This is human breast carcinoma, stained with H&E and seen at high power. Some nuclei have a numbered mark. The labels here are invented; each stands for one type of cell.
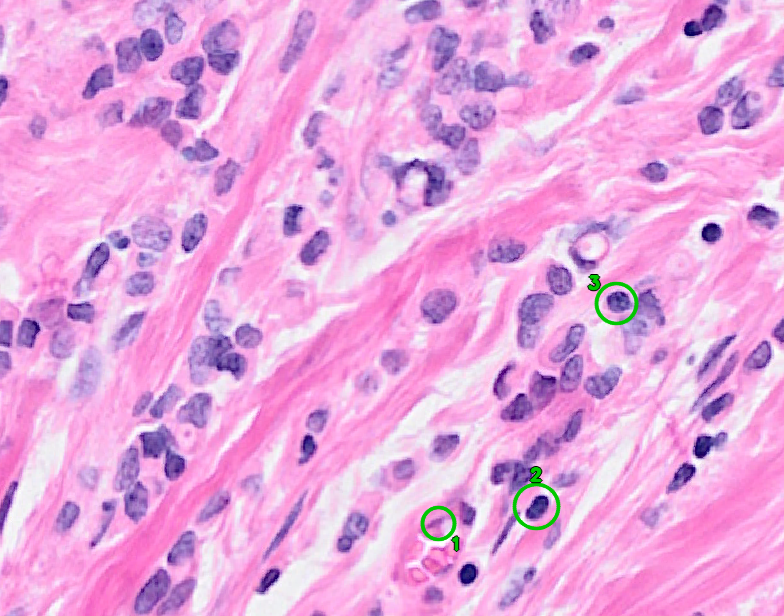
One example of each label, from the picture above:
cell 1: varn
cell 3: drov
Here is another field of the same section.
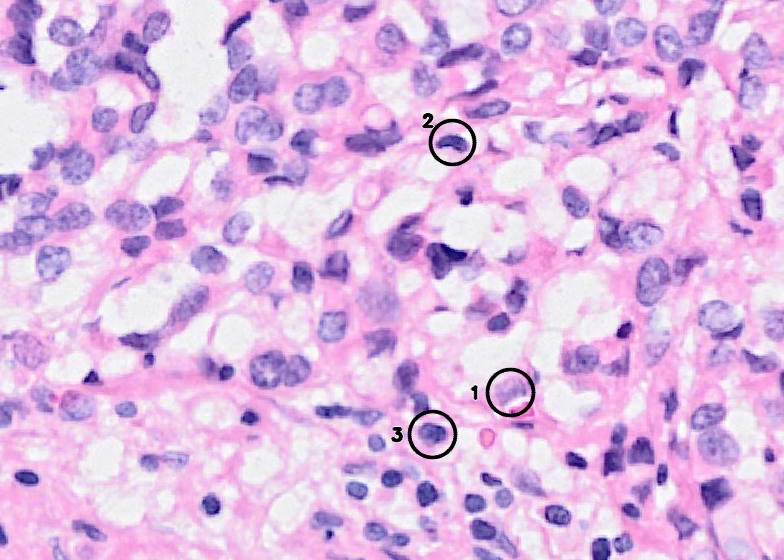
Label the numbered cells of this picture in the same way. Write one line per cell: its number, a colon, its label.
1: varn
2: drov
3: drov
